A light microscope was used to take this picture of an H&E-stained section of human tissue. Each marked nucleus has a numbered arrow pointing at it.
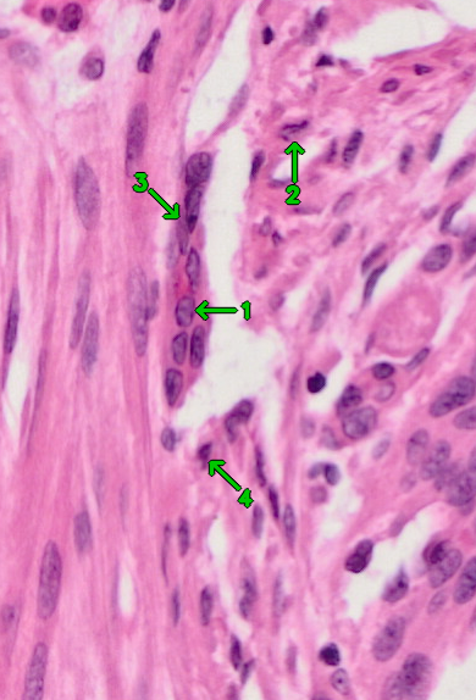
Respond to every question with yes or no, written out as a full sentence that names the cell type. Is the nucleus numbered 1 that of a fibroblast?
No, the cell denoted 1 is an endothelial cell rather than a fibroblast.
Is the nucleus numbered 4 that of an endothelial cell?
No, calling cell 4 an endothelial cell is a mistake; it is a fibroblast.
